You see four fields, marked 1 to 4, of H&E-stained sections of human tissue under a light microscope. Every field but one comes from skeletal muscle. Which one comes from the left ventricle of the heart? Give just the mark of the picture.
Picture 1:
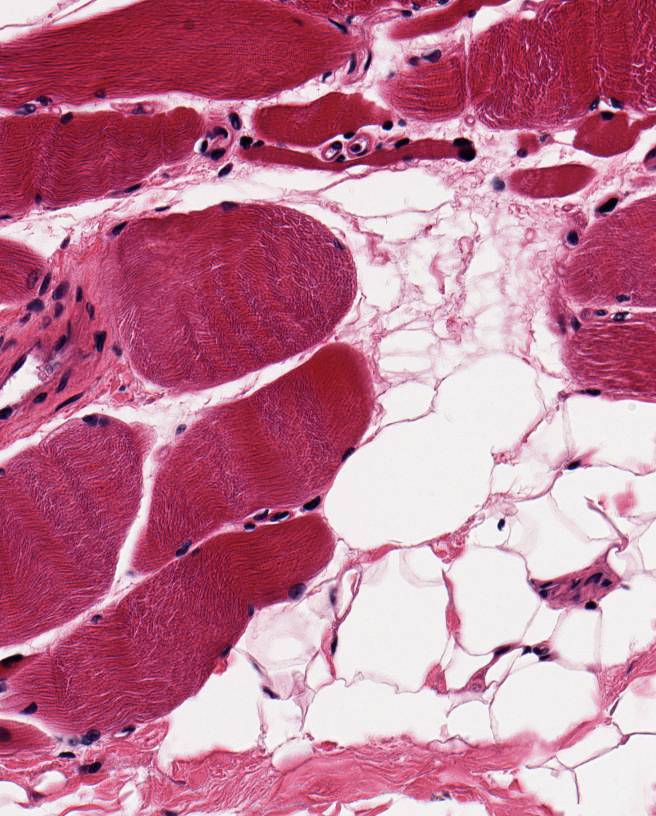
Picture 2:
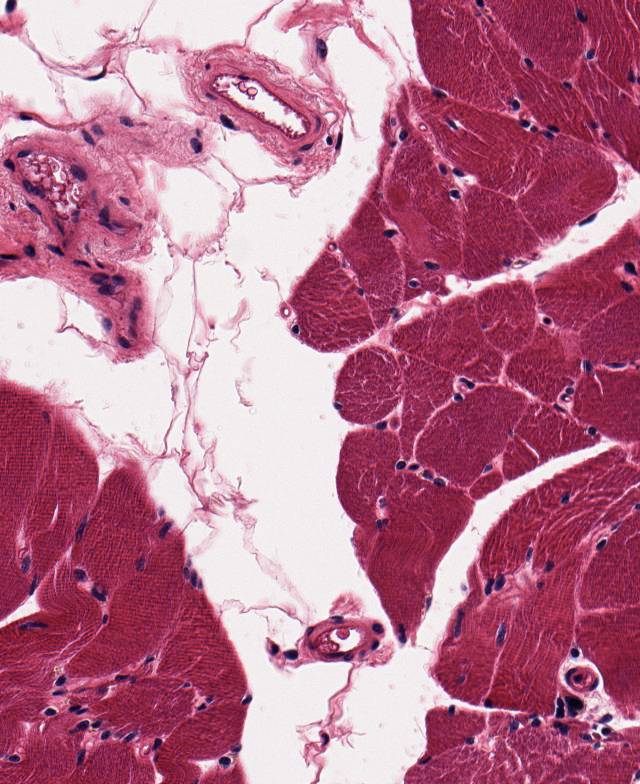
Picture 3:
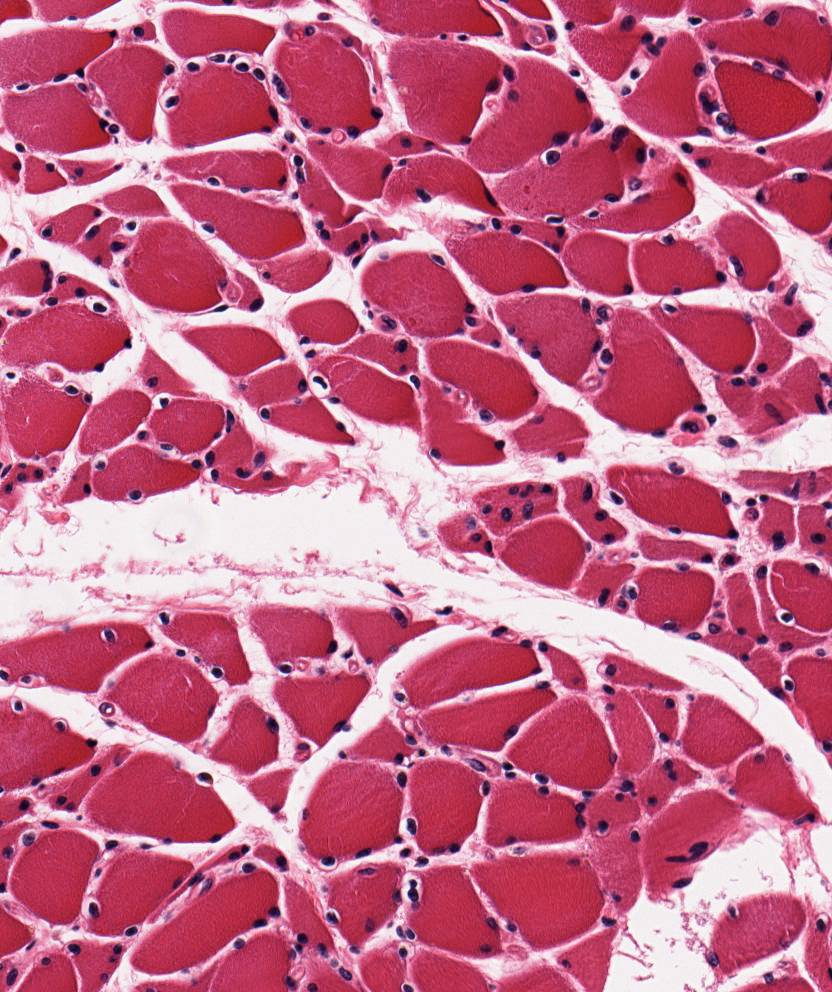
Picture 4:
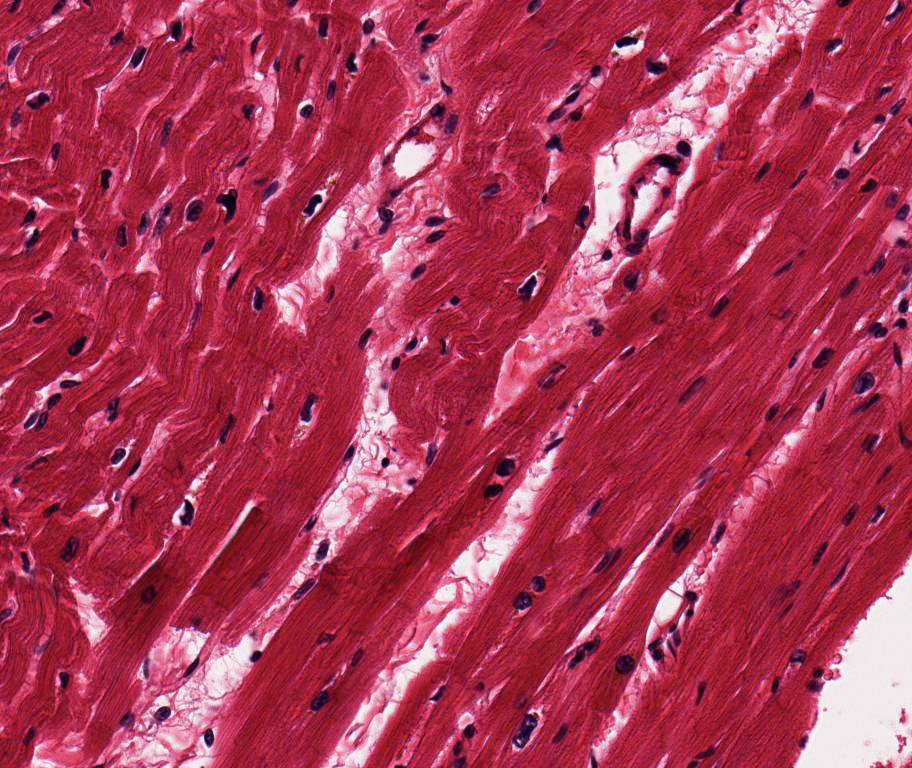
4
